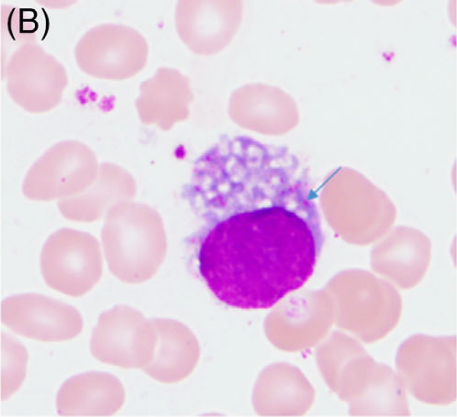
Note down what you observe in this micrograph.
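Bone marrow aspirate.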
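A single plasma cell lies among red blood cells, with a round, dense, purple nucleus set at one pole of the cell. The cytoplasm on the other side is crowded with many clear, angular spaces of similar size, giving it a honeycomb look. Along the cytoplasm next to the nucleus lies a thin, rod-shaped inclusion. These clear angular spaces are intracytoplasmic rhomboid crystalline inclusions, and the thin rod is an Auer rod-like inclusion.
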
